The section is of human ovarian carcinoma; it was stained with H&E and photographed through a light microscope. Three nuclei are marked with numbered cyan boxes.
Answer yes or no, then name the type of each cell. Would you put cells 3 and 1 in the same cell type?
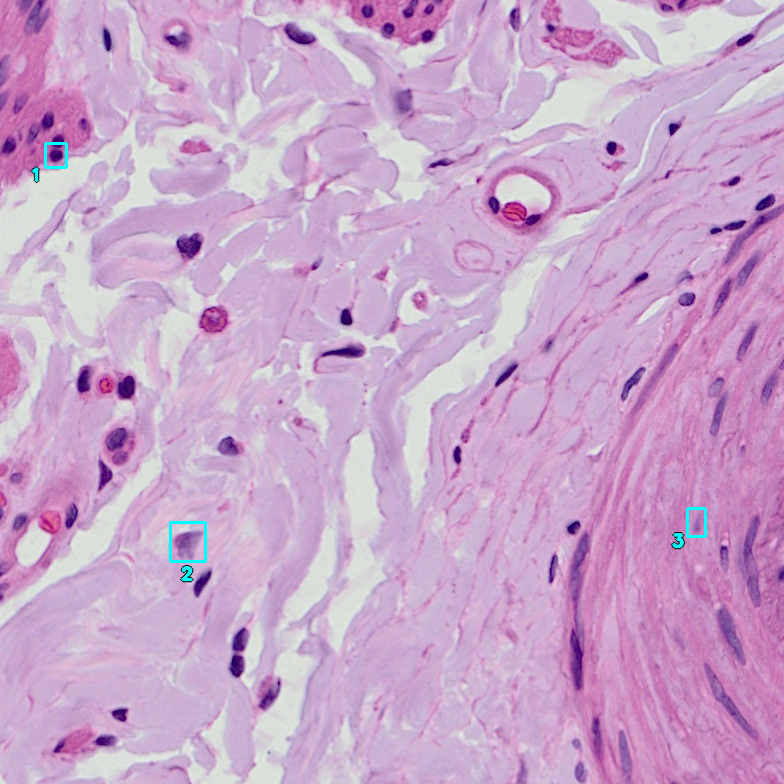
Yes, both are smooth muscle cells.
